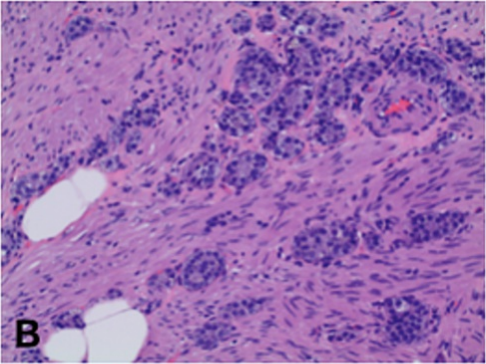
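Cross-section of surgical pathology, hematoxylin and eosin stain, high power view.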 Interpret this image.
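Nests and small rounded clusters of uniform tumor cells of a carcinoid lie within a stroma of spindle-shaped cells with pink cytoplasm arranged in fascicles. The tumor cells have round, dark purple nuclei and scant cytoplasm, with little variation in size between them. A few clear, empty fat cells lie at the left edge.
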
